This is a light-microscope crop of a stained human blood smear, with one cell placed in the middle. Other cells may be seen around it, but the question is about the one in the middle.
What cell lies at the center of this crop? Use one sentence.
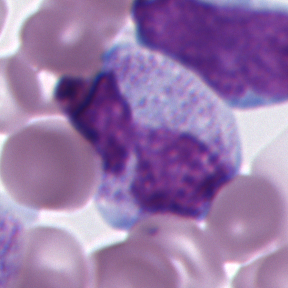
The cell featured at the centre of this crop is a band neutrophil.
